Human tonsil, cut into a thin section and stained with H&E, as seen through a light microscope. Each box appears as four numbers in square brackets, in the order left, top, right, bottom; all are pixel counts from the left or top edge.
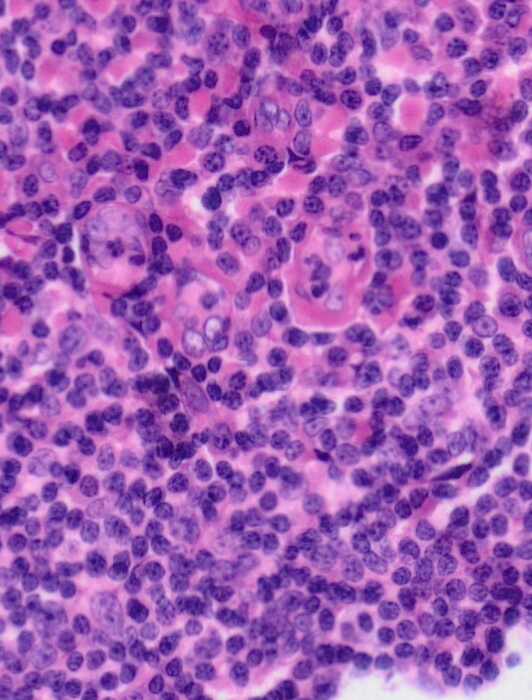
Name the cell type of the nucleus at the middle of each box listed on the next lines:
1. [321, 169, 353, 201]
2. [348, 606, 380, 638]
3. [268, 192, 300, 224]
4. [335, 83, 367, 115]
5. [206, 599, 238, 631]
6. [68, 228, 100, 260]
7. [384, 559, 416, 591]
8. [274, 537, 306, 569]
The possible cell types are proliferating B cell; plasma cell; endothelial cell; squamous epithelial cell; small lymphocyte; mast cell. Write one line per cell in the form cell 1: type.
cell 1: plasma cell
cell 2: small lymphocyte
cell 3: plasma cell
cell 4: plasma cell
cell 5: small lymphocyte
cell 6: endothelial cell
cell 7: small lymphocyte
cell 8: small lymphocyte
